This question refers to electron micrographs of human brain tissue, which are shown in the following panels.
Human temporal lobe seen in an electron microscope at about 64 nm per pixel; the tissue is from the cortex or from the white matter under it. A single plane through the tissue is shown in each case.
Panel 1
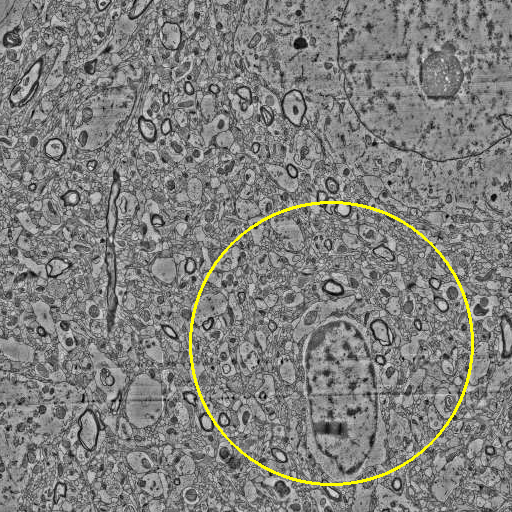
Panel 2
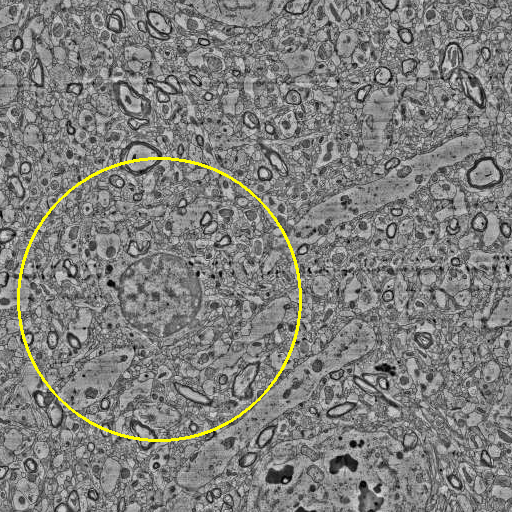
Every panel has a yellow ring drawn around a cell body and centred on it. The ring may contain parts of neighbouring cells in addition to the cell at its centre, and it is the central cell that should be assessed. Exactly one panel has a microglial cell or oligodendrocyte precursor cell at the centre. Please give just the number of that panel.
1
